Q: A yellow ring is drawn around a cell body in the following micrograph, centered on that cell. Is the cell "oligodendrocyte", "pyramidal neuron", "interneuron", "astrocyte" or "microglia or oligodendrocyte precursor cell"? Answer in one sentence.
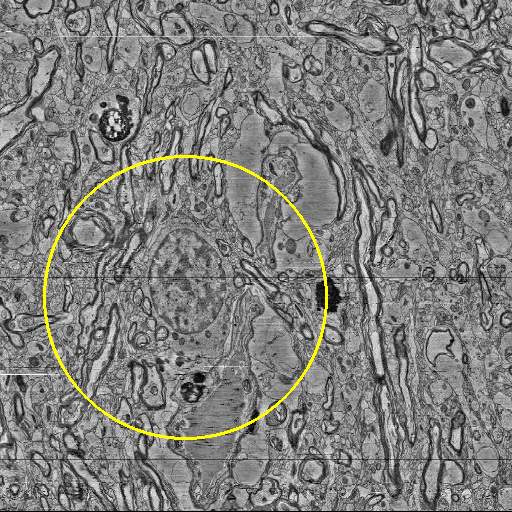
The cell in the center of the ring is an oligodendrocyte.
